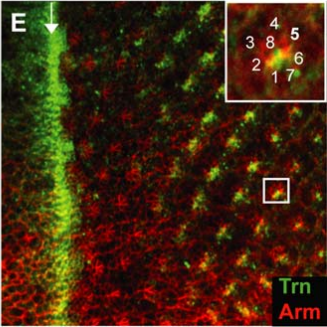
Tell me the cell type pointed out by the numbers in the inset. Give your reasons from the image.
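Eight numbers sit around and within one small rosette-like cell cluster. The green signal lies at the centre of the cluster among the numbered positions. The answer: photoreceptor.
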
